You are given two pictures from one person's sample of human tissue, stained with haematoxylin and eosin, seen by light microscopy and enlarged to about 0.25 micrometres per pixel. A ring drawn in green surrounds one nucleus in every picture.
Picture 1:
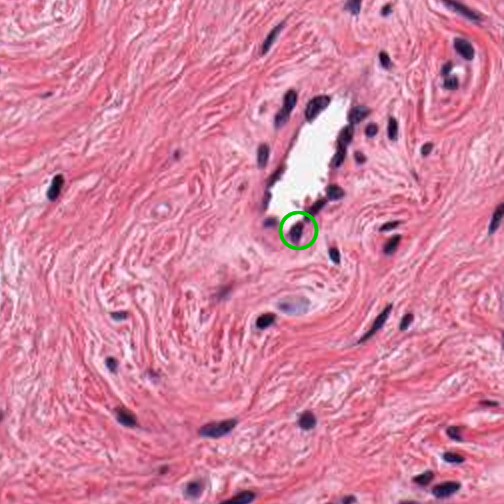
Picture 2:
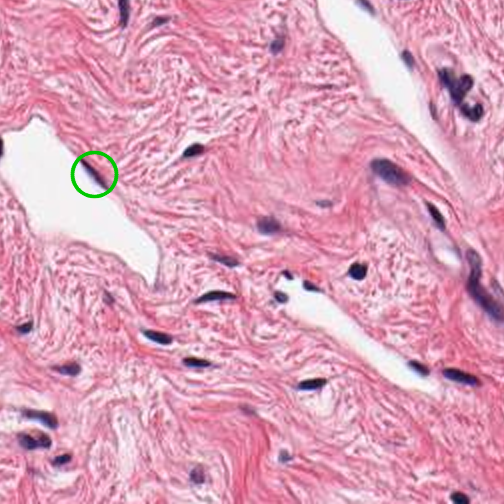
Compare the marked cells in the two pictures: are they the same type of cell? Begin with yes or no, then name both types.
Yes, both are endothelial cells.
